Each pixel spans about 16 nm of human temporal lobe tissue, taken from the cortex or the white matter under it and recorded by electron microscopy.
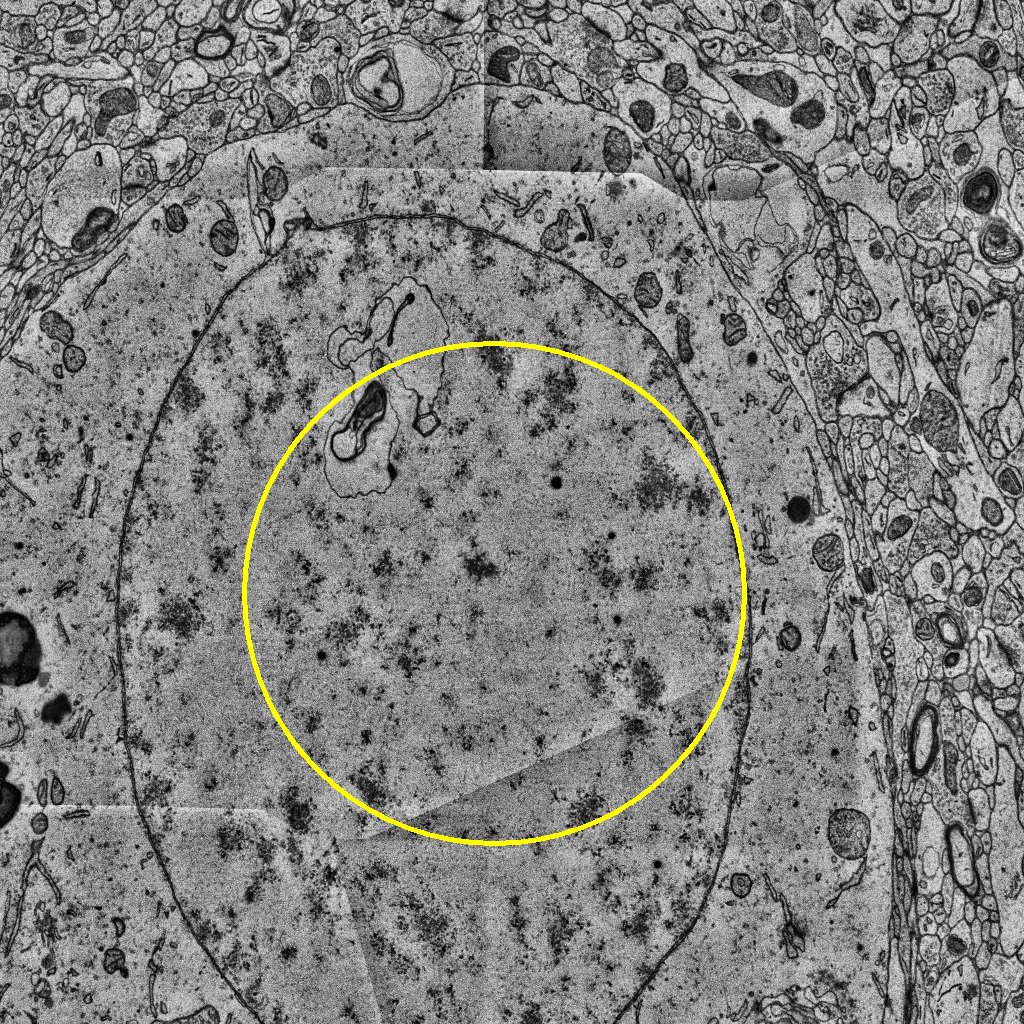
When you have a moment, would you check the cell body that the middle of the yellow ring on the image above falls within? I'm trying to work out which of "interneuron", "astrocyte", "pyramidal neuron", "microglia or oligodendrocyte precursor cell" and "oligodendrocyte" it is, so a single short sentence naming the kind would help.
This cell body belongs to a pyramidal neuron.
